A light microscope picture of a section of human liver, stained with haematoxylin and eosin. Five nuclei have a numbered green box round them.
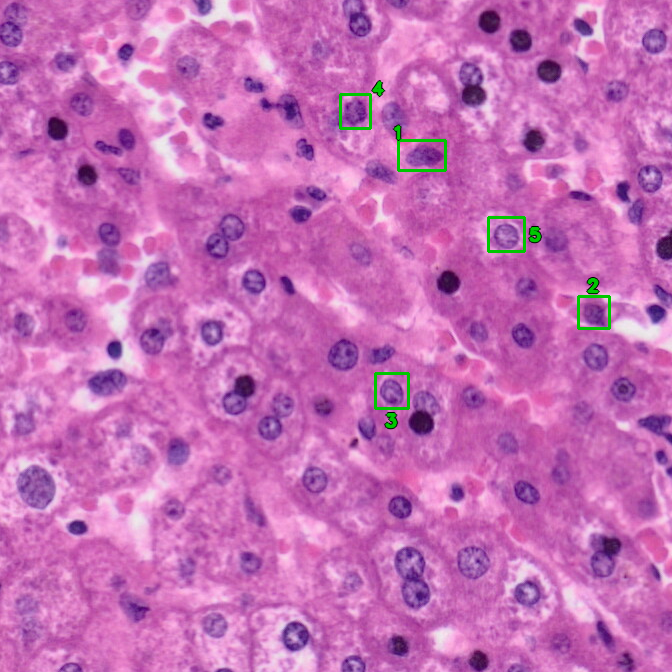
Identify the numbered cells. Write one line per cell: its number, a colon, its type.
1: Kupffer cell
2: Kupffer cell
3: hepatocyte
4: hepatocyte
5: hepatocyte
